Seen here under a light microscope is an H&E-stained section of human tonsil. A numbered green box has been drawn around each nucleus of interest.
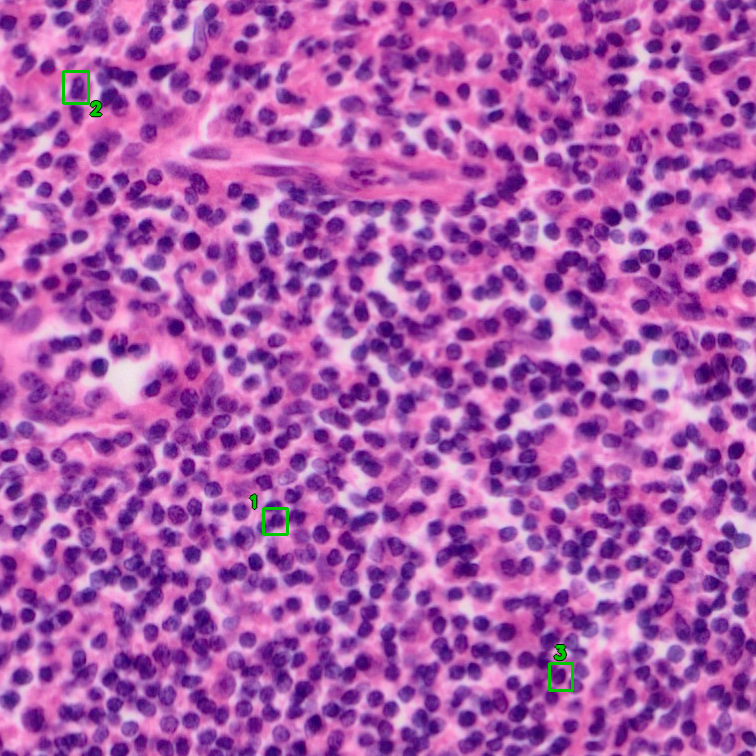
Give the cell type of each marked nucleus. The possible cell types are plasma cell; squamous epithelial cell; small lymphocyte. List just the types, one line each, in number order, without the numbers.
small lymphocyte
plasma cell
small lymphocyte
